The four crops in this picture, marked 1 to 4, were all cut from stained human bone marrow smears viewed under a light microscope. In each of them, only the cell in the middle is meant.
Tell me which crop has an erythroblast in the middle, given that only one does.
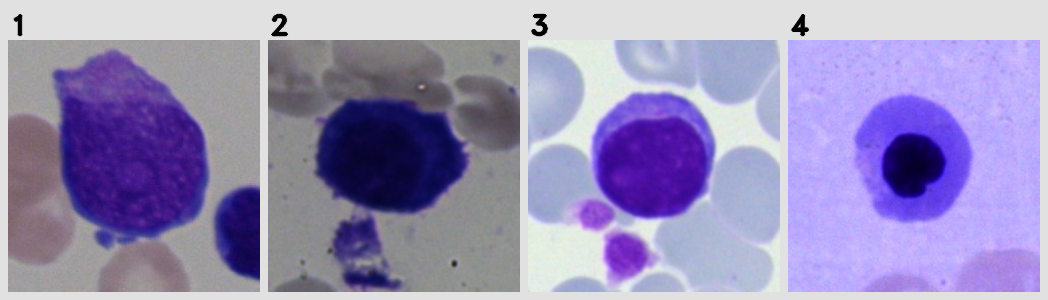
4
